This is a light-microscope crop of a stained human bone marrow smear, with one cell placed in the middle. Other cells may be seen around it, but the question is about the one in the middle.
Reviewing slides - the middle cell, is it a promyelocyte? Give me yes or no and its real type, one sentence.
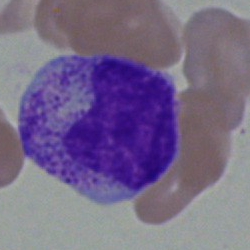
No, at the centre of this crop is found a myelocyte instead of a promyelocyte.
